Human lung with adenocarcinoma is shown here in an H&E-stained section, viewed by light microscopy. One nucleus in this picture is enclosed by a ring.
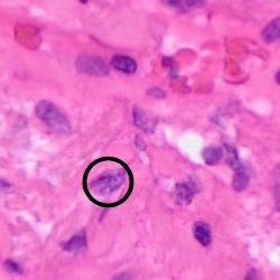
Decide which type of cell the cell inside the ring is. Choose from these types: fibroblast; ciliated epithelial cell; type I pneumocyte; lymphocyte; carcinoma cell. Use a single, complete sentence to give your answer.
Typologically, the cell inside the ring is a fibroblast in this section.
